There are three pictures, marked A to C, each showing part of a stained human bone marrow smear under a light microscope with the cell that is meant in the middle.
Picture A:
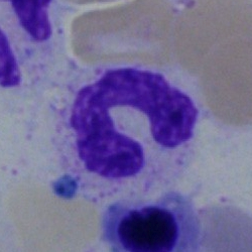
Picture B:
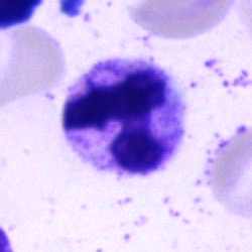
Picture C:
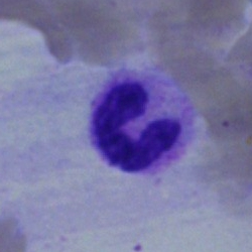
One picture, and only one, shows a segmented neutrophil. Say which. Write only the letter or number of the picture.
B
